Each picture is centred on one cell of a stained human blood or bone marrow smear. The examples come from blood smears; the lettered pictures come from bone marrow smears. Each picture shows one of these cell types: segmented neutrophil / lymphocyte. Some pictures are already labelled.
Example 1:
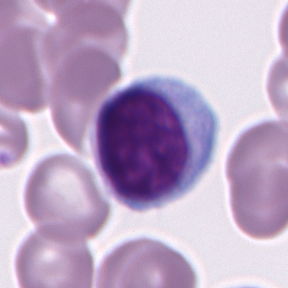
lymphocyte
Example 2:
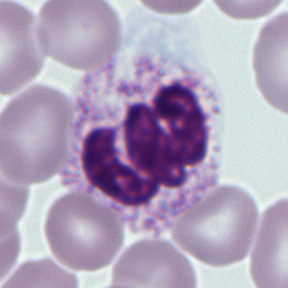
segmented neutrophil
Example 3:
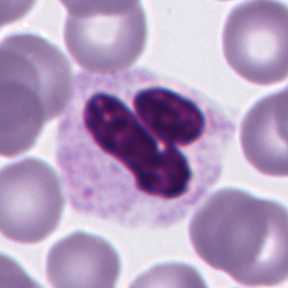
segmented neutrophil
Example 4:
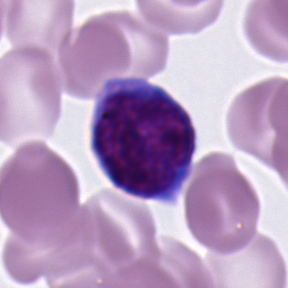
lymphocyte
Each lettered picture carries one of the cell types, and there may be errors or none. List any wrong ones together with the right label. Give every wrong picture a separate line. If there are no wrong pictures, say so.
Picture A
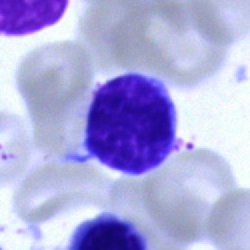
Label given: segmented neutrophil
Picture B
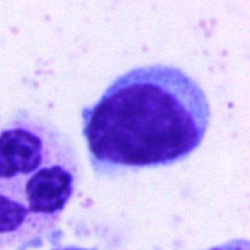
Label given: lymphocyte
A: change segmented neutrophil to lymphocyte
